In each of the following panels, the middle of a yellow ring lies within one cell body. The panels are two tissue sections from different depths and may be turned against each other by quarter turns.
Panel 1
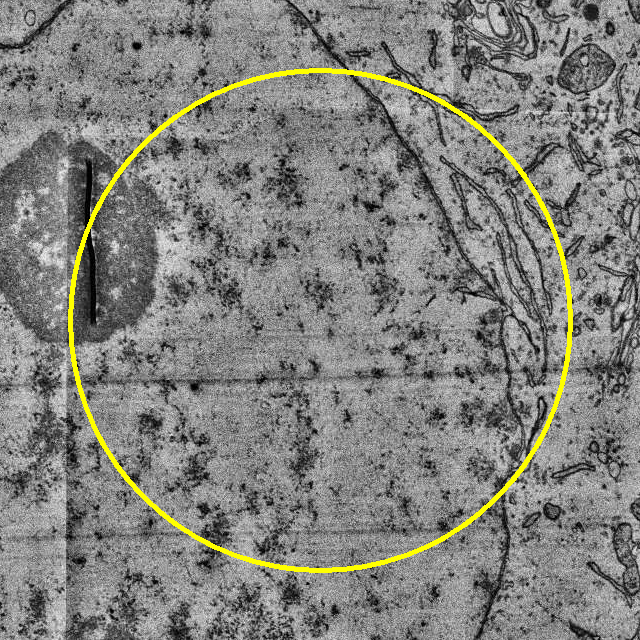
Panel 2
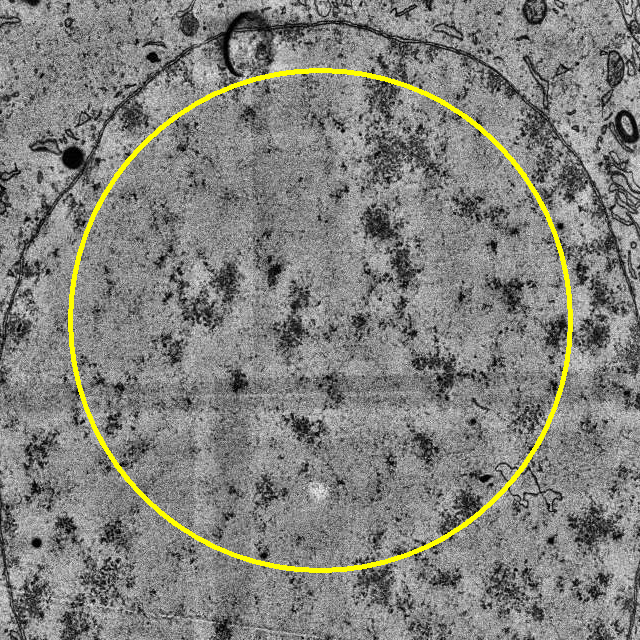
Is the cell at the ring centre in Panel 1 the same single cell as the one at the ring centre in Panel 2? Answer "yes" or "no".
no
